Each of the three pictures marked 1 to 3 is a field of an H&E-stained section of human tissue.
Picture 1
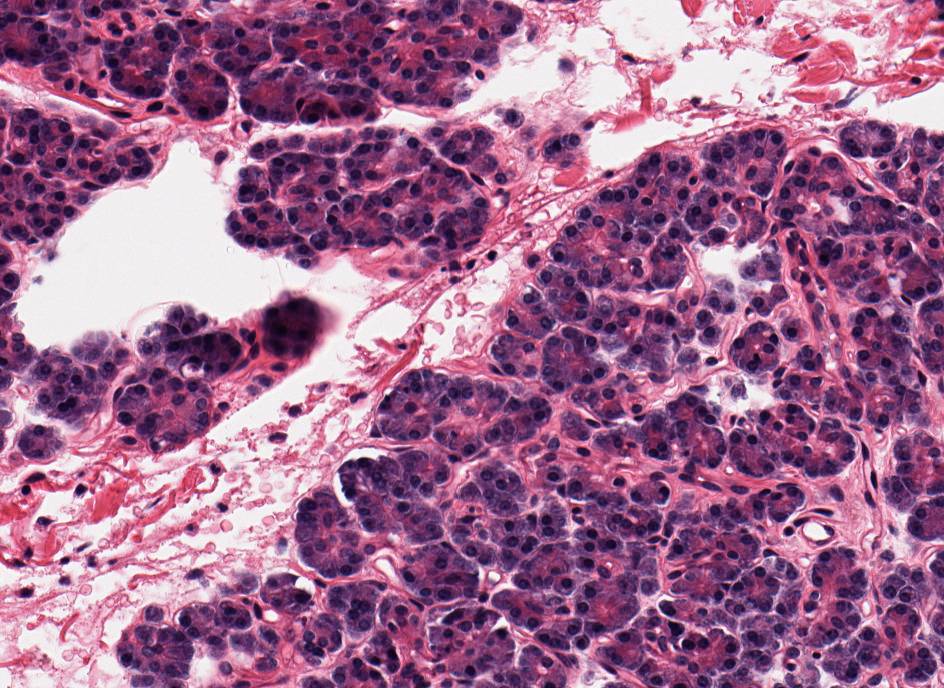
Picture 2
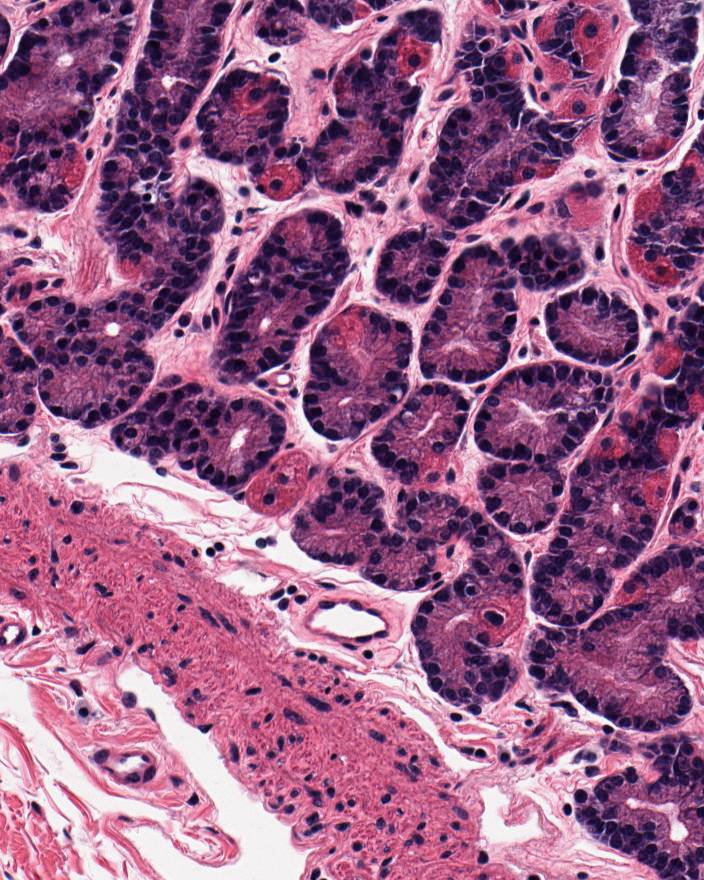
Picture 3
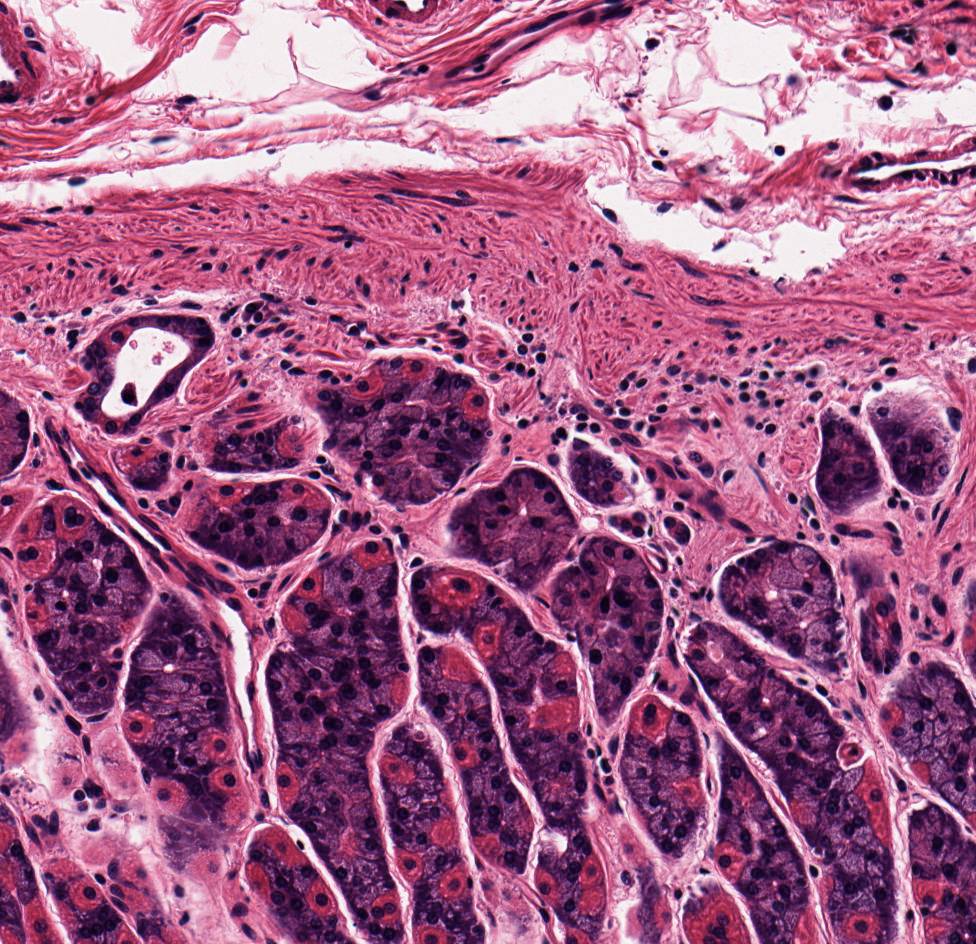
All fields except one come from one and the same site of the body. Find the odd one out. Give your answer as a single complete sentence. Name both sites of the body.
All pictures except 1 come from the stomach; picture 1 comes from the pancreas.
